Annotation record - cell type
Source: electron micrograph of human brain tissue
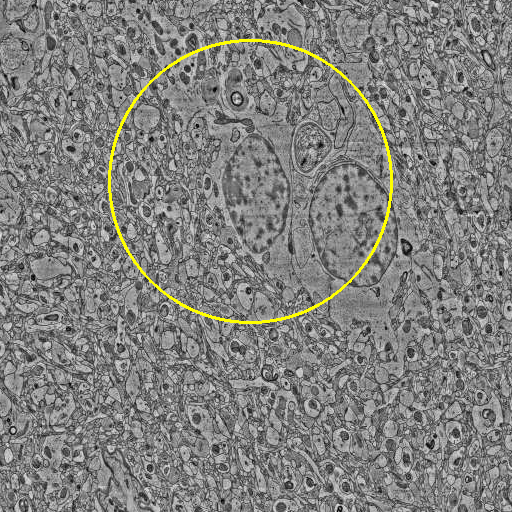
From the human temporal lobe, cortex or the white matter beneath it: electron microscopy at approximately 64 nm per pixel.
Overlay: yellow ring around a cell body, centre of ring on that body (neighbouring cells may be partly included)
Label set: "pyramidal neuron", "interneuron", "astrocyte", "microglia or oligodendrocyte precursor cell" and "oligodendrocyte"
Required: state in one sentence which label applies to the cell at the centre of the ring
This cell should be labelled as an astrocyte.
